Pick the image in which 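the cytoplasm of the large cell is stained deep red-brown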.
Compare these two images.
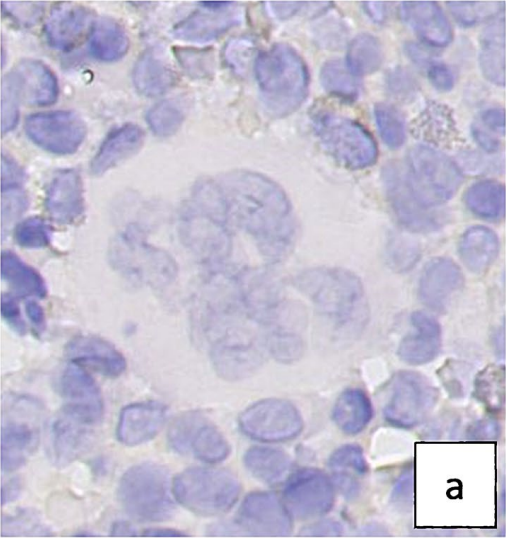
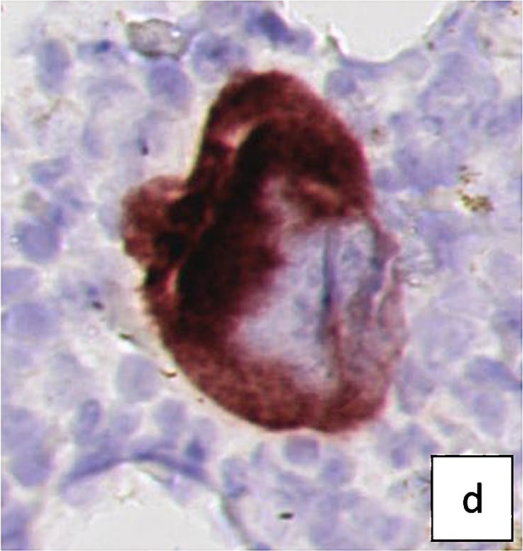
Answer: The second image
